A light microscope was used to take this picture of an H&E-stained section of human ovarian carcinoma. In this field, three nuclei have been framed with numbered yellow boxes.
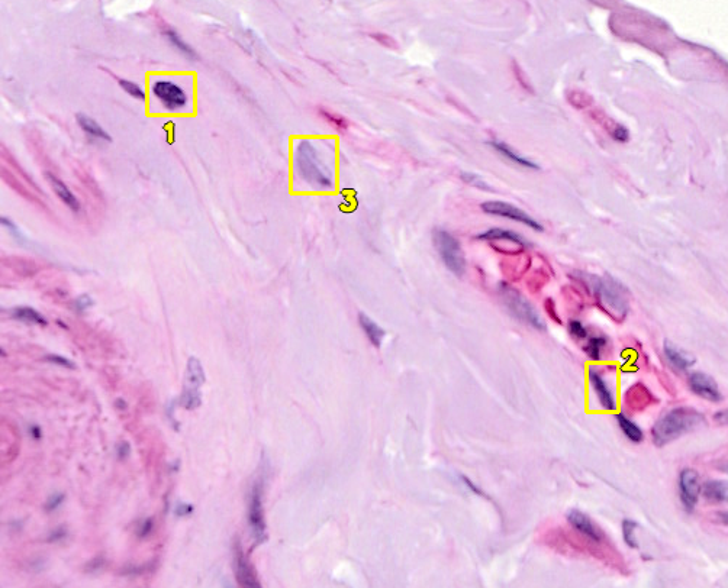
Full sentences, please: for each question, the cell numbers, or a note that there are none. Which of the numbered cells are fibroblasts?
Of the cells bearing numbers, the only one that is a fibroblast is cell 3.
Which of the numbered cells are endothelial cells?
A single numbered cell, cell 2, is an endothelial cell.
